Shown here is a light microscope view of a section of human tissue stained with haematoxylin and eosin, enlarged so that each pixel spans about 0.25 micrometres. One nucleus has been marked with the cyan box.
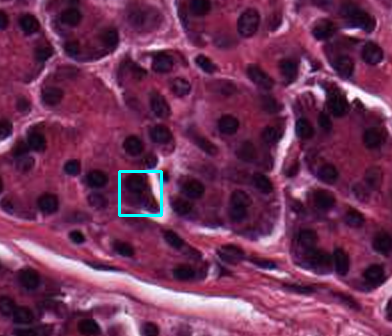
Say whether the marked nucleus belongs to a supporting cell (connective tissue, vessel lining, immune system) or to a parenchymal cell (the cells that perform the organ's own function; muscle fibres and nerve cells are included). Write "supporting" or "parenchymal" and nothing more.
parenchymal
